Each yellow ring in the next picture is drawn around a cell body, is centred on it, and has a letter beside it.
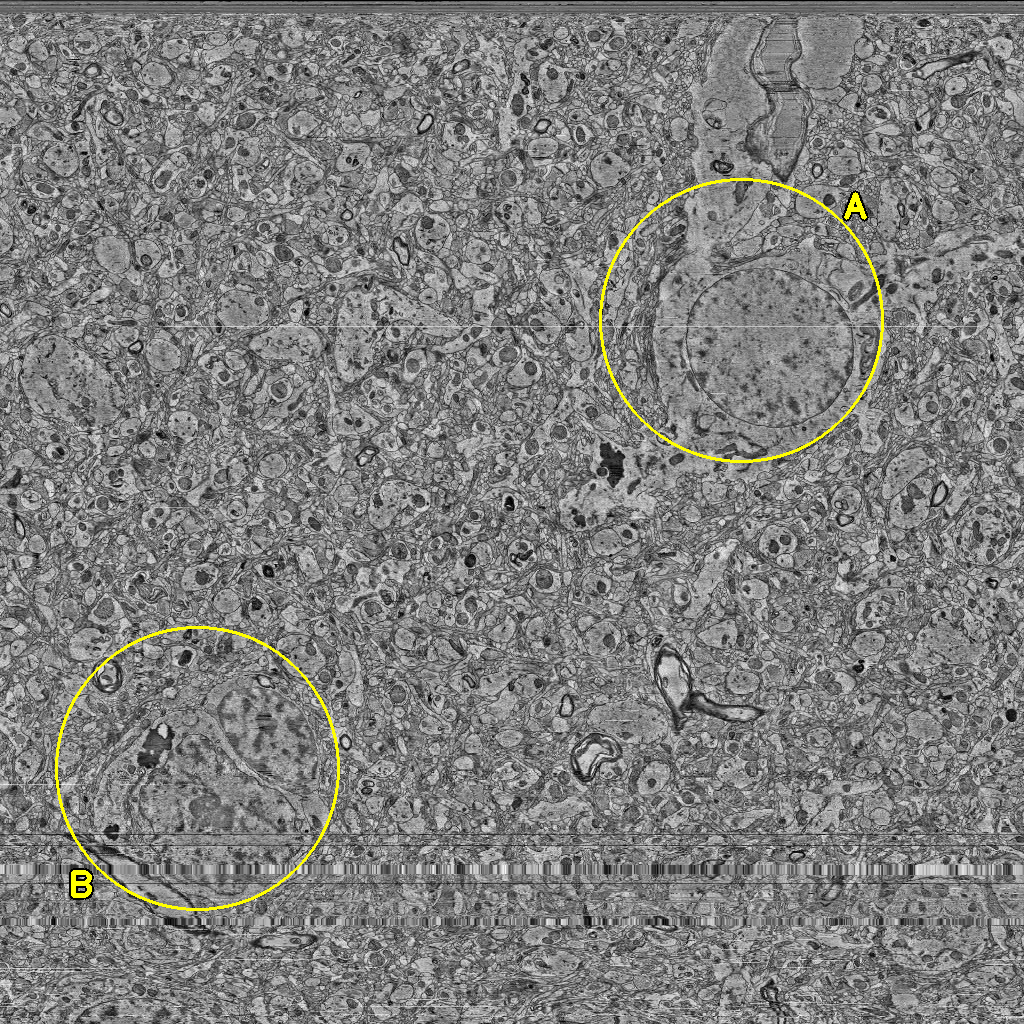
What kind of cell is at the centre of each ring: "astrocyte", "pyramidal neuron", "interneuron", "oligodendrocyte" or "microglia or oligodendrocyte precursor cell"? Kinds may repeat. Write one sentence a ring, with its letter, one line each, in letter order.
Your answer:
The centre of ring A falls on an astrocyte.
The centre of ring B falls on an interneuron.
